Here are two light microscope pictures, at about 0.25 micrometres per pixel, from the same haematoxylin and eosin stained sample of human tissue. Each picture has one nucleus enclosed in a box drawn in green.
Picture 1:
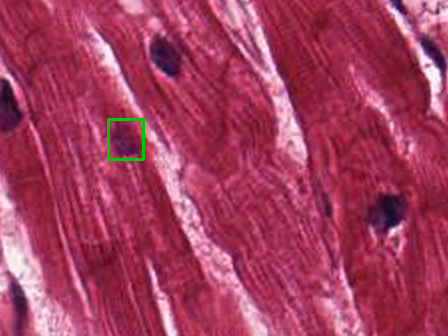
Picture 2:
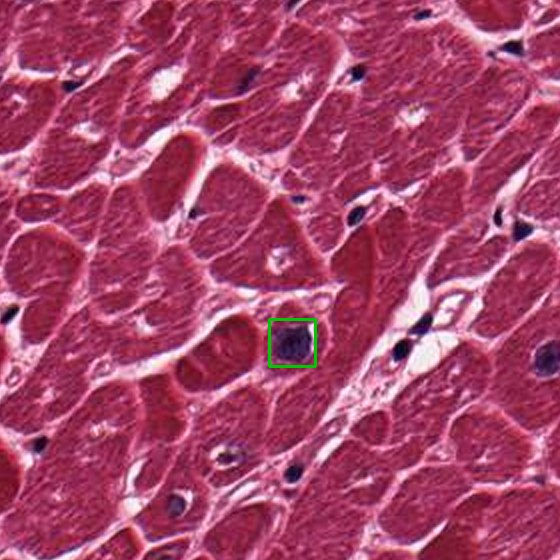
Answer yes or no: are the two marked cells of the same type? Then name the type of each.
Yes, both are cardiomyocytes.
